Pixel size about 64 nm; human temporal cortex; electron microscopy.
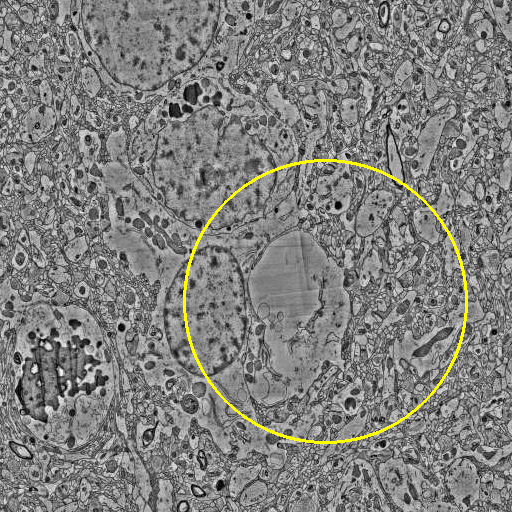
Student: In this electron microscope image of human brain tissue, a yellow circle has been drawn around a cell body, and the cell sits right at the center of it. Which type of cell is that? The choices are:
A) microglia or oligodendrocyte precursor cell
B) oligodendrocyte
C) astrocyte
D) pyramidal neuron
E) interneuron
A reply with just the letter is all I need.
C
